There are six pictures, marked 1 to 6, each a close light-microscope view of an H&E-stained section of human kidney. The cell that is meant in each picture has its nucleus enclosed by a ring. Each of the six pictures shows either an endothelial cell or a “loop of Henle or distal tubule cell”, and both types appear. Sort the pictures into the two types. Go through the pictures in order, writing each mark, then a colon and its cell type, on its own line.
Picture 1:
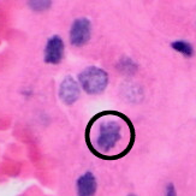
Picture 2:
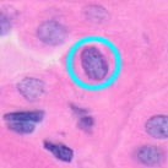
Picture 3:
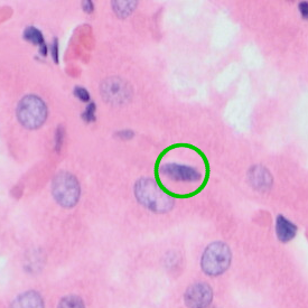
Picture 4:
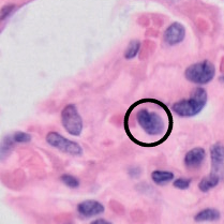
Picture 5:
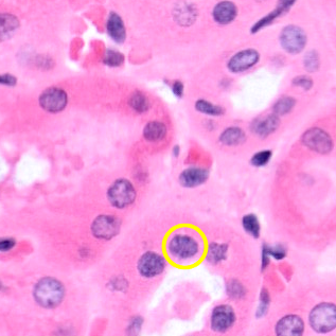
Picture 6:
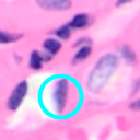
1: loop of Henle or distal tubule cell
2: loop of Henle or distal tubule cell
3: endothelial cell
4: endothelial cell
5: loop of Henle or distal tubule cell
6: endothelial cell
